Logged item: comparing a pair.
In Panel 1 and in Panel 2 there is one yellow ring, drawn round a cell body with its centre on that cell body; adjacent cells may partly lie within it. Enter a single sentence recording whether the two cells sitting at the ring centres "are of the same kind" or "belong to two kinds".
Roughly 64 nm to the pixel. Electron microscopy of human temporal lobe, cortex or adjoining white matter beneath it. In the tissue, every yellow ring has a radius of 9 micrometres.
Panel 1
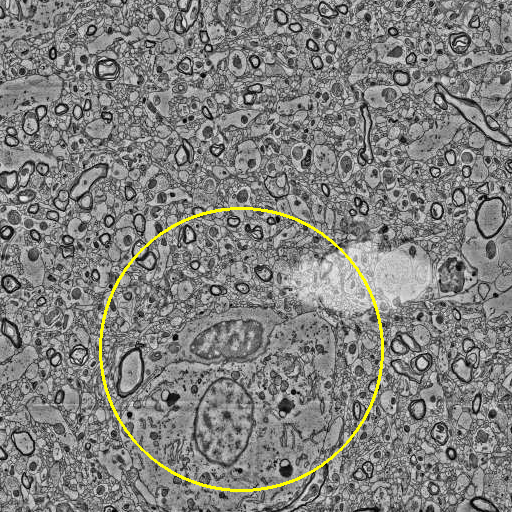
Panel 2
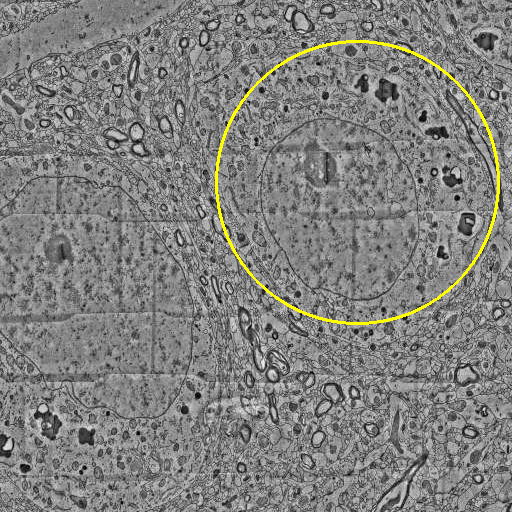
Logged: the cells centred in the rings of Panel 1 and Panel 2 belong to two kinds.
